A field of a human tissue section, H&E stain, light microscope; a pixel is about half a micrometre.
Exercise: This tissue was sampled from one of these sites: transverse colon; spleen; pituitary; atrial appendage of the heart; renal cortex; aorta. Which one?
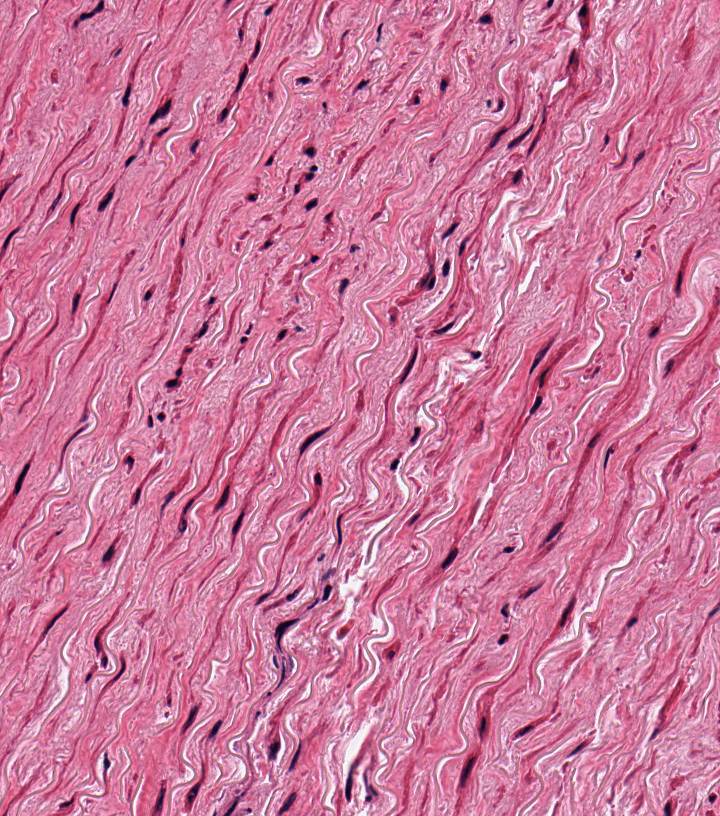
aorta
